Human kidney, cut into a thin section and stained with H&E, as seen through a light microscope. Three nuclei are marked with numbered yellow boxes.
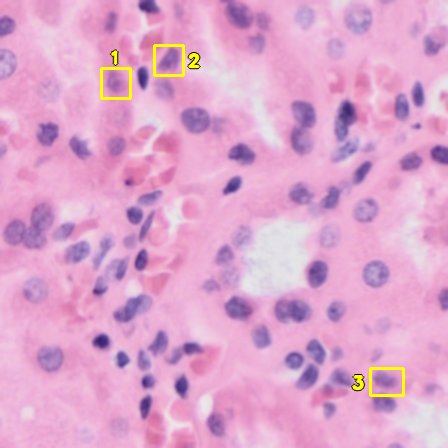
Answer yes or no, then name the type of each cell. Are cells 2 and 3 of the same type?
No, cell 2 is a proximal tubule cell and cell 3 is a loop of Henle or distal tubule cell.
